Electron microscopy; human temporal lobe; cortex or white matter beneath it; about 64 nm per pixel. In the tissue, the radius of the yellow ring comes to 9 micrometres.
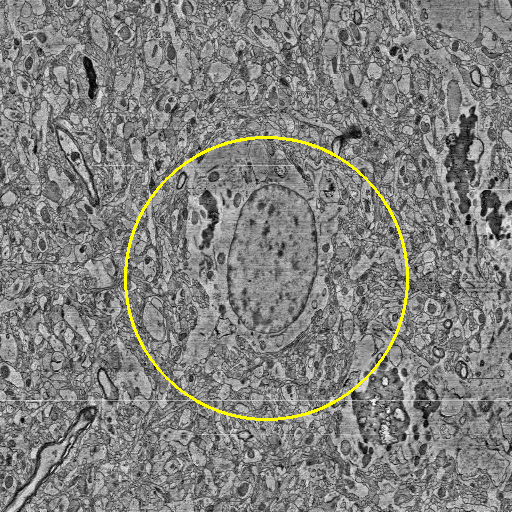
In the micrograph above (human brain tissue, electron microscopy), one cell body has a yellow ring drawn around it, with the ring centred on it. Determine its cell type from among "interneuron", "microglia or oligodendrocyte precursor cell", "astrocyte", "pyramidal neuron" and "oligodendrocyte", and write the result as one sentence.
The cell whose body is ringed is an astrocyte.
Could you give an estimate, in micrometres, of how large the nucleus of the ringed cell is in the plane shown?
Roughly 10 by 6 micrometres; in this plane, clearly longer than it is wide.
